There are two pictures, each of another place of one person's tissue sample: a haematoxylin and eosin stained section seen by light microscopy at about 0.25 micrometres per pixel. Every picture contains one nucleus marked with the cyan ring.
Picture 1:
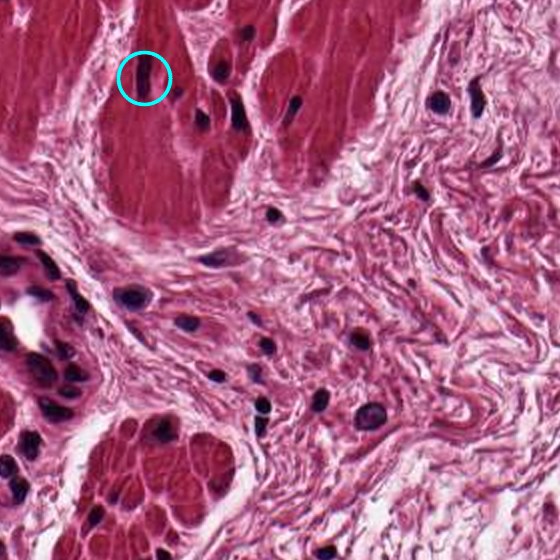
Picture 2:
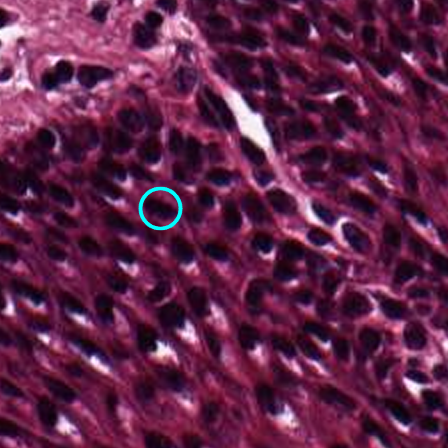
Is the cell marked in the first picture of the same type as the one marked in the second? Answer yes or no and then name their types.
No, the first is a smooth muscle cell and the second a squamous epithelial cell.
